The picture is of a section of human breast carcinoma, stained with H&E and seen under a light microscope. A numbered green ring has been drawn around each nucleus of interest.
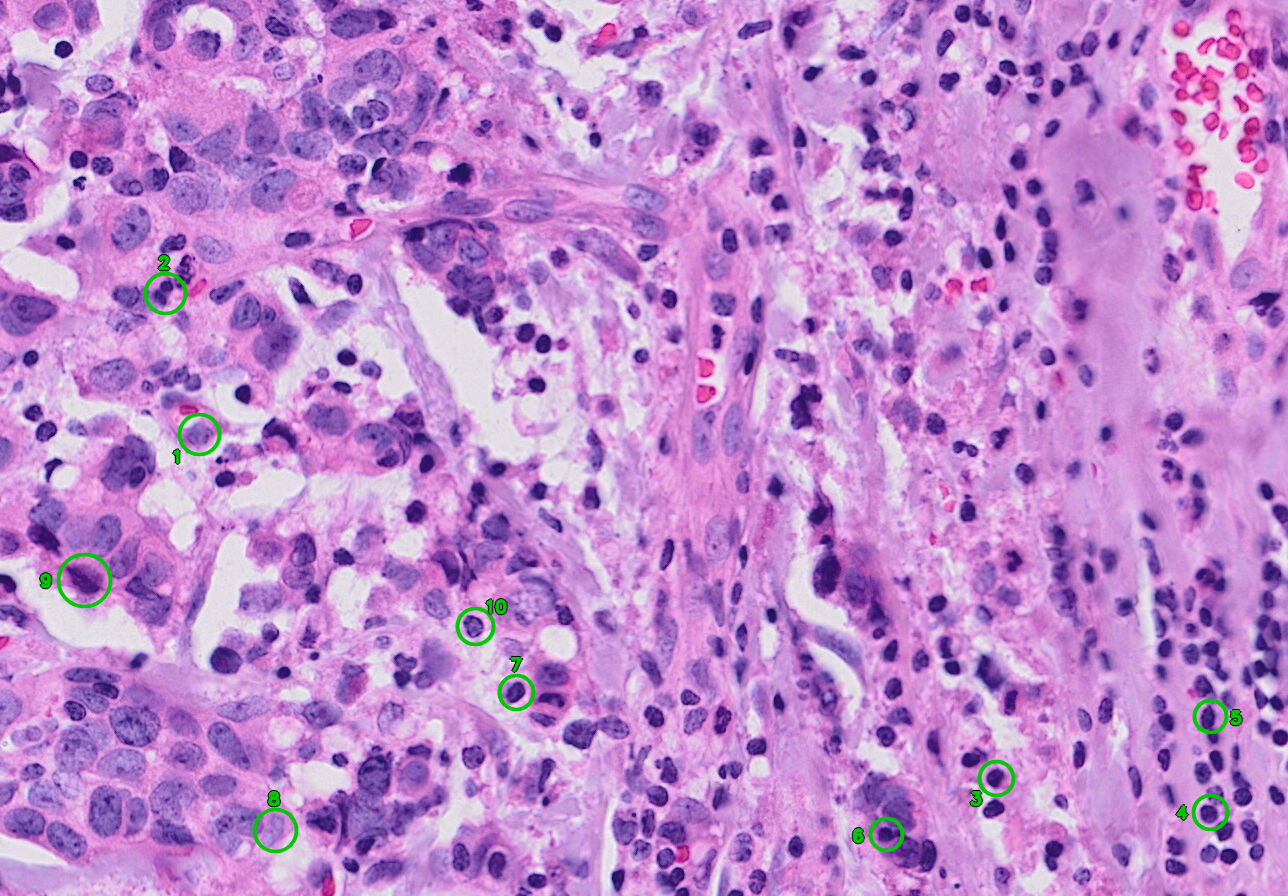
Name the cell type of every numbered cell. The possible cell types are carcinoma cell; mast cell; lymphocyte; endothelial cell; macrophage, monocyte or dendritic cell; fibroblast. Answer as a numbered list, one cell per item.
1. endothelial cell
2. lymphocyte
3. lymphocyte
4. lymphocyte
5. lymphocyte
6. carcinoma cell
7. lymphocyte
8. carcinoma cell
9. carcinoma cell
10. lymphocyte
